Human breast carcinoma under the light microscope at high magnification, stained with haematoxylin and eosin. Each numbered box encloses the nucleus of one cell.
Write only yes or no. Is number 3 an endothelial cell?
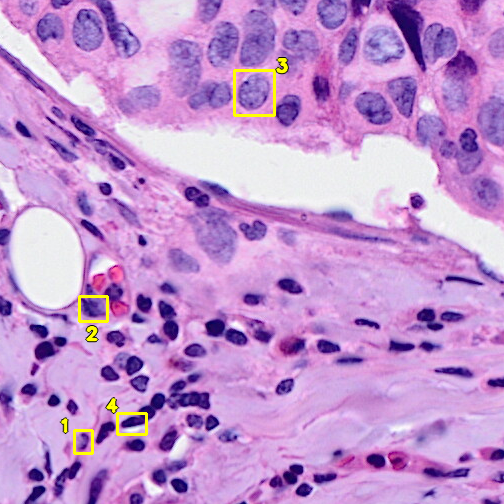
no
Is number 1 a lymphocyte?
no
